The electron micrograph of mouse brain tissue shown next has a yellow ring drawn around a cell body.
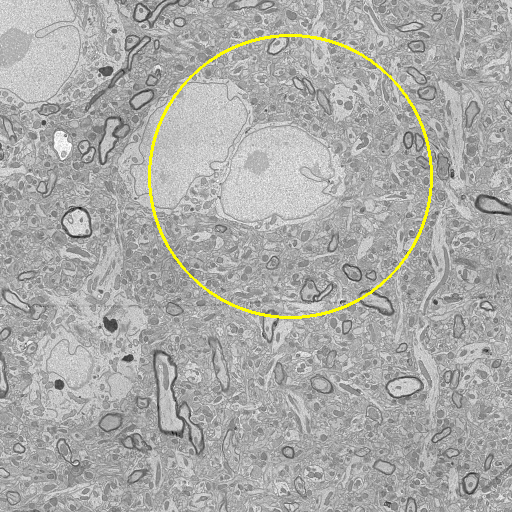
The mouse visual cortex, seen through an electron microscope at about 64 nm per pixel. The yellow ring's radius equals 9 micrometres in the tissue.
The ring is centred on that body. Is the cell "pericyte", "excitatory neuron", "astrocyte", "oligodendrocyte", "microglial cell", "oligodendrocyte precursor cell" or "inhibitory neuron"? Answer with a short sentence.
The cell in question is an inhibitory neuron.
